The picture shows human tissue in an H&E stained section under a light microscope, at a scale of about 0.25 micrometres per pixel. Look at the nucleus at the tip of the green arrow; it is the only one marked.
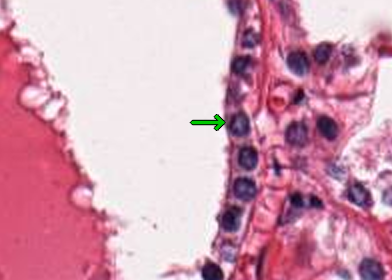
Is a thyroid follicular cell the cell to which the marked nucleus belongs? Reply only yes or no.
yes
